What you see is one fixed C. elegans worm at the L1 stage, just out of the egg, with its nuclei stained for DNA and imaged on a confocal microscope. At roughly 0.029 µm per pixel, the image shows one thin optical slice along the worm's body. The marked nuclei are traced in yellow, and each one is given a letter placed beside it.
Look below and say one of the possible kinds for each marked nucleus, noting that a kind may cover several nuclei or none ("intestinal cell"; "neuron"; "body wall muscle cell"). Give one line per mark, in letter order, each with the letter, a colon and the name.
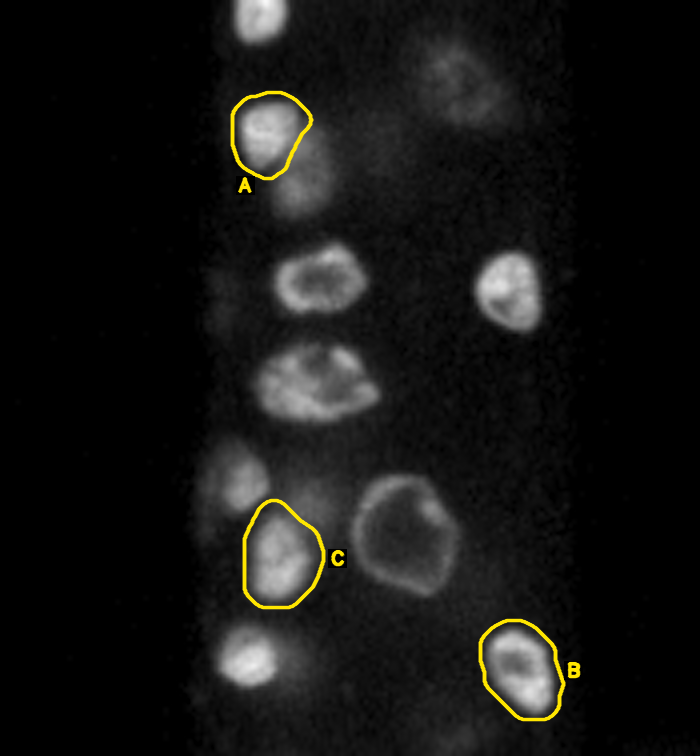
A: neuron
B: body wall muscle cell
C: body wall muscle cell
